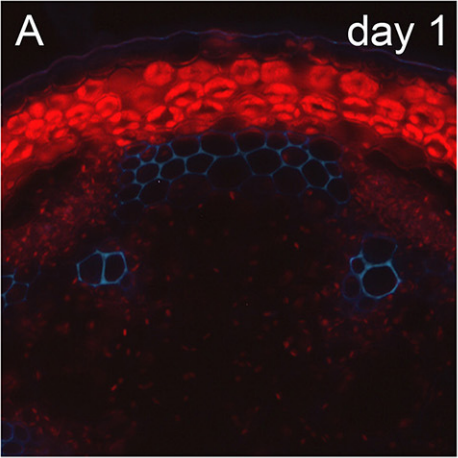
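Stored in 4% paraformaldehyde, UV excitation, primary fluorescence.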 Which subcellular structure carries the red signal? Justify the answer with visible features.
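Rounded red bodies fill the cells of the outer band just under the epidermis. The red bodies are clustered inside the cells, not in the walls.
Conclusion: plastids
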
